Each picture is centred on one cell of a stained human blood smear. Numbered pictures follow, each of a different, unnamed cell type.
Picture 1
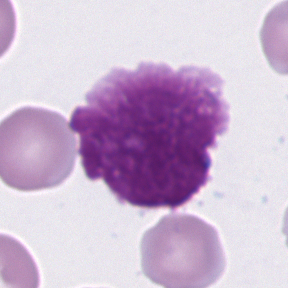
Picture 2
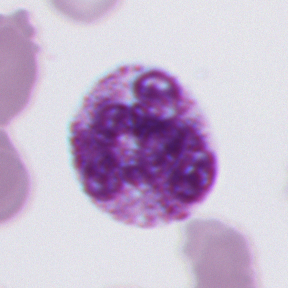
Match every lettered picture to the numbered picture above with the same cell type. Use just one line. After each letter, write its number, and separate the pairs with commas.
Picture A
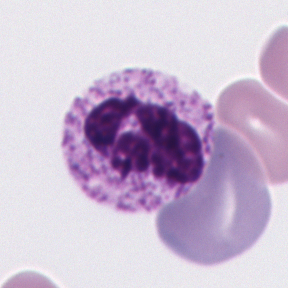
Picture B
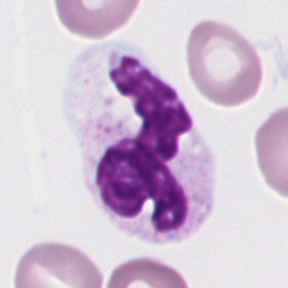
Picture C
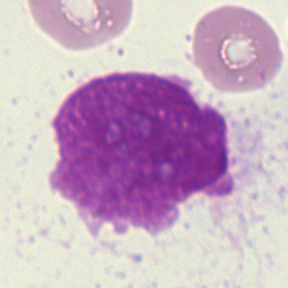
A 2, B 2, C 1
